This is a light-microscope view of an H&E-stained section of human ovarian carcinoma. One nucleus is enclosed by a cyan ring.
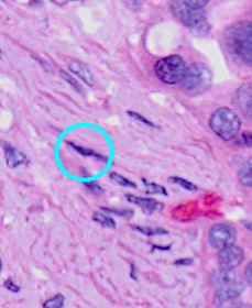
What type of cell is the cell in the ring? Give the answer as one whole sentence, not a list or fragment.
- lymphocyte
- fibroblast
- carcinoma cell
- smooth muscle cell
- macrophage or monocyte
As to its cell type, the cell in the ring is a fibroblast.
